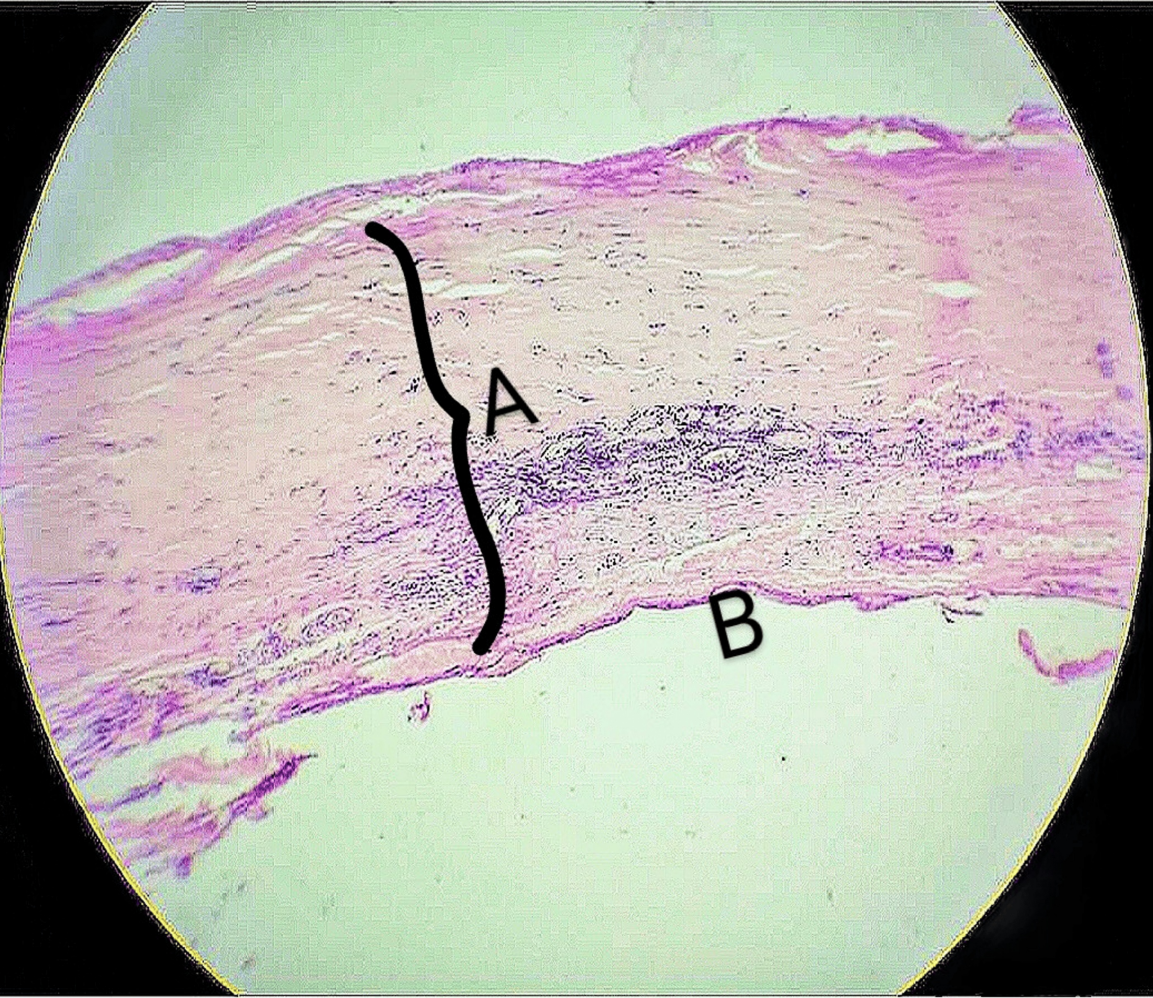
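Low-power view of a cyst wall made of fibro-collagenous tissue, with pale pink wavy collagen bundles running parallel to the surface. Dense clusters of small dark purple nuclei of chronic inflammatory cells lie in the middle and deeper part of the wall, with scattered spindle nuclei elsewhere. The lower free surface facing the empty lumen is lined by a thin, flattened epithelium seen as a narrow purple line.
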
